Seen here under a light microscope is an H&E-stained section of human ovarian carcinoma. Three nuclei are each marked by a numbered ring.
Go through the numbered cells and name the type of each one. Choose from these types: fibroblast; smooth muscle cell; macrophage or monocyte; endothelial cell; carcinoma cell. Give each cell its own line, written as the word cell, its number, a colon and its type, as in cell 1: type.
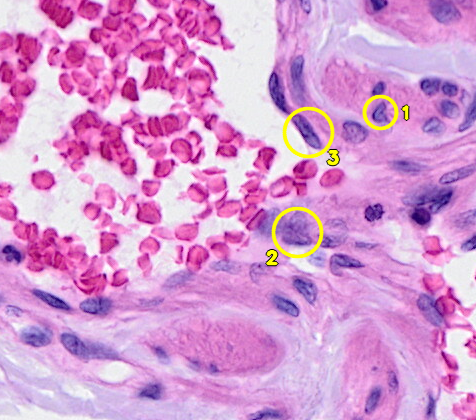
cell 1: smooth muscle cell
cell 2: endothelial cell
cell 3: endothelial cell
